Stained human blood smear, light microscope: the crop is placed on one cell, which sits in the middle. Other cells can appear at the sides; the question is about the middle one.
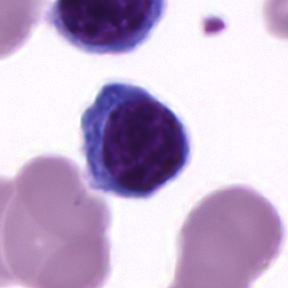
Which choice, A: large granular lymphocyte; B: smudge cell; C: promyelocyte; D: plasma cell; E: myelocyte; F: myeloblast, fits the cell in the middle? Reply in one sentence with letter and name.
With the cell in the middle being a plasma cell, option D is the correct choice.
